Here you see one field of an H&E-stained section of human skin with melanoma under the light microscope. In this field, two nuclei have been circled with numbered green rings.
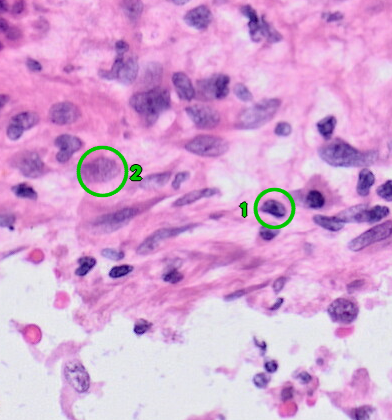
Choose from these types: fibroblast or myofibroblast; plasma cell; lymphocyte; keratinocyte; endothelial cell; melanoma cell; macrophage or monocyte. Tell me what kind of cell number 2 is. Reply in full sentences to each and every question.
Within this field of view, the cell labelled 2 is a fibroblast or myofibroblast.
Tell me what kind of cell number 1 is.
The cell indicated with the number 1 is classed as a lymphocyte.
